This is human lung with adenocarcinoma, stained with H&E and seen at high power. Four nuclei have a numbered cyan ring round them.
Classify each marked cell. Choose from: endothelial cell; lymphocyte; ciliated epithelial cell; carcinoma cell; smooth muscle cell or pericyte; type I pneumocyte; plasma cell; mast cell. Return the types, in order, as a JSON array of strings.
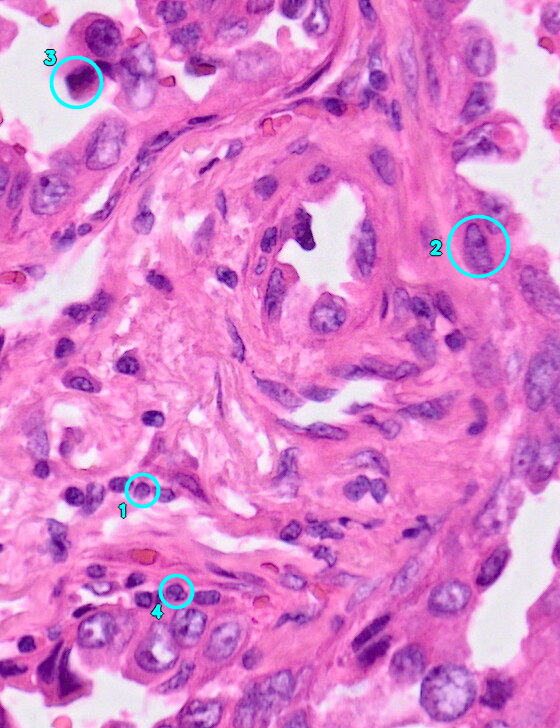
["lymphocyte", "carcinoma cell", "carcinoma cell", "lymphocyte"]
